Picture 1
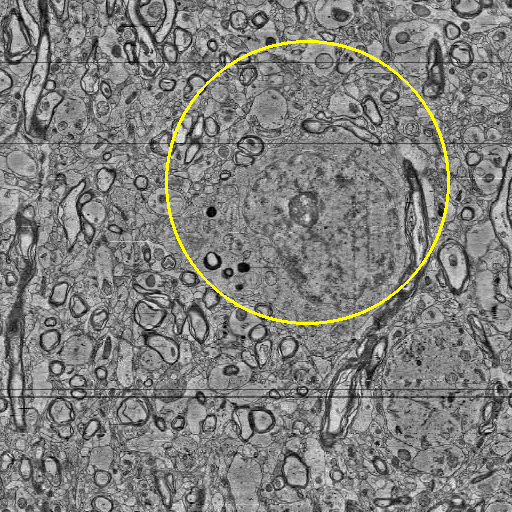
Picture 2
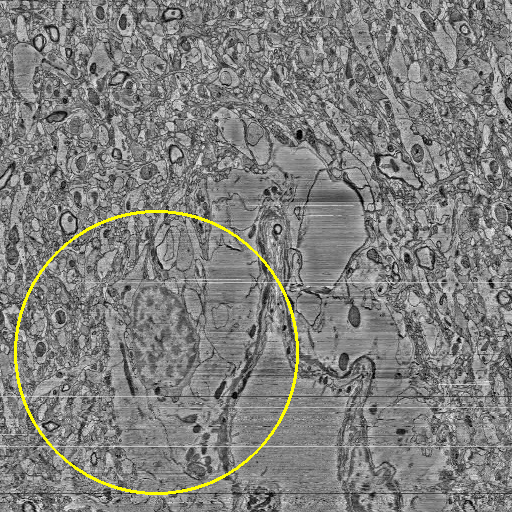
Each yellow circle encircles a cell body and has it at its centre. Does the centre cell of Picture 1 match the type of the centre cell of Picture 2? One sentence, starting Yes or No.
No, the cell centred in Picture 1 and the one in Picture 2 have separate types.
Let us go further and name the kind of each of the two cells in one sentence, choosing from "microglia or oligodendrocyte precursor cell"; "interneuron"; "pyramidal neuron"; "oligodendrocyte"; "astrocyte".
The ring of the first picture is on an interneuron, the ring of the second on an oligodendrocyte.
